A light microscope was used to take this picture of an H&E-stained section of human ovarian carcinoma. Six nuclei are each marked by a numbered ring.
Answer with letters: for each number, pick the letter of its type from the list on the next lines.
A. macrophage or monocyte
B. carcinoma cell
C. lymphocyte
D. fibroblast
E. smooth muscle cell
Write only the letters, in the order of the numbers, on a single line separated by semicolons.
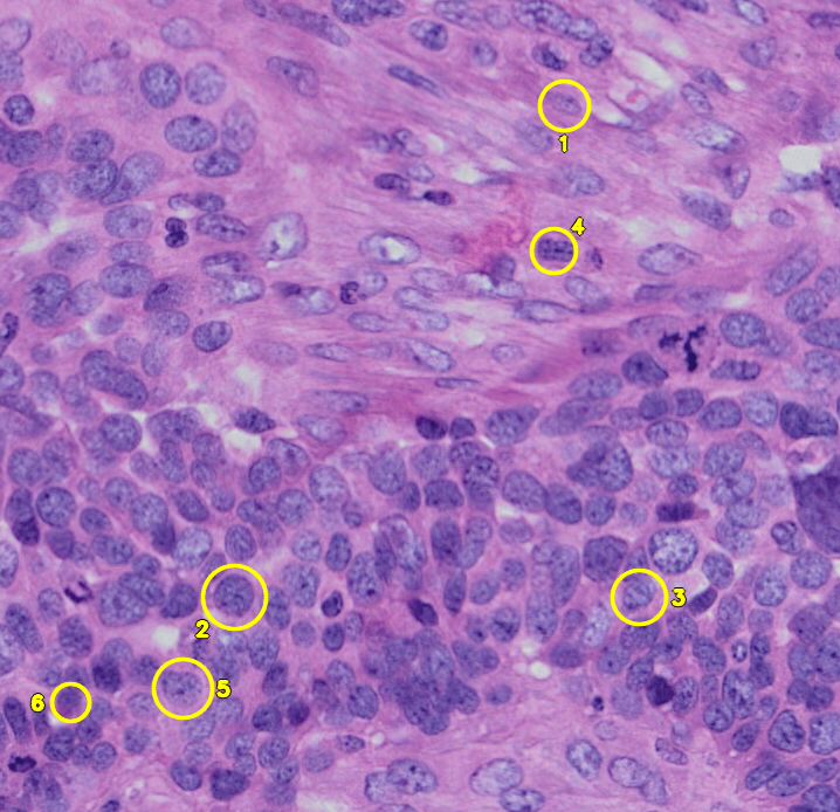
D; B; B; A; B; B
